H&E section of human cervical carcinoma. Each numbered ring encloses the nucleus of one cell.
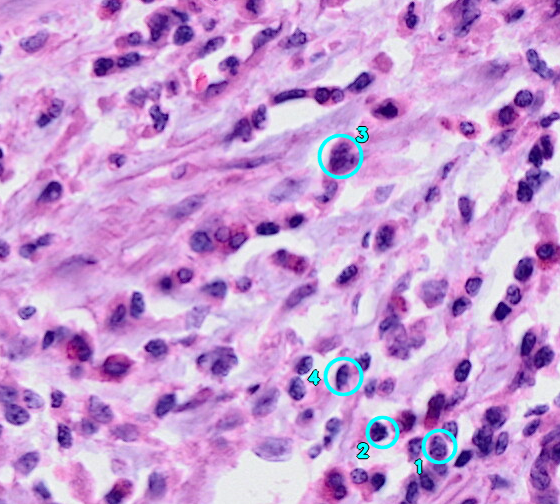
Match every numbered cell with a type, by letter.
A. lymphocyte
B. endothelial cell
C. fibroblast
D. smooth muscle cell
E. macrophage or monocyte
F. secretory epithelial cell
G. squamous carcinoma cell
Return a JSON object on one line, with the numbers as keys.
{"1": "A", "2": "A", "3": "E", "4": "A"}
